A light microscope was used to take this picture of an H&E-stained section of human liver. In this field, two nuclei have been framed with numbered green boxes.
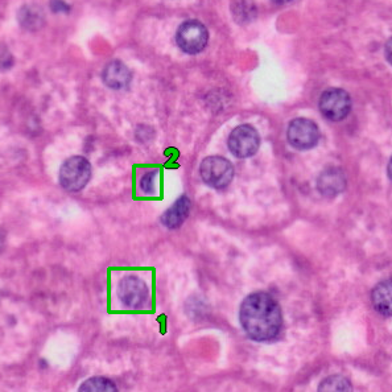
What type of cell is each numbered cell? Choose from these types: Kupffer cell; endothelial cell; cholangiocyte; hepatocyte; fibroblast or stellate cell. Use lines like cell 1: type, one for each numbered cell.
cell 1: hepatocyte
cell 2: endothelial cell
